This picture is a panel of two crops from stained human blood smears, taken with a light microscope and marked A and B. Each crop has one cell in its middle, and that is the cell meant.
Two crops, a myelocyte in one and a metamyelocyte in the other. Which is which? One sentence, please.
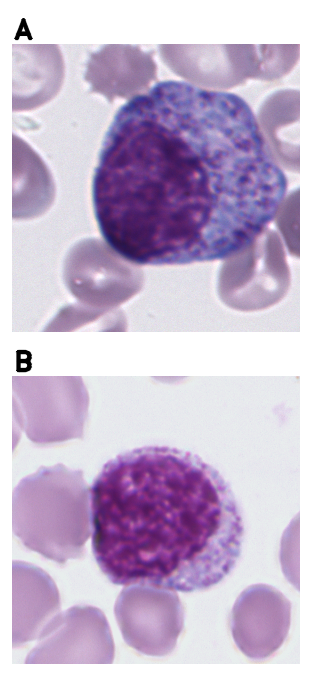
Crop A contains a myelocyte, and crop B, a metamyelocyte.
